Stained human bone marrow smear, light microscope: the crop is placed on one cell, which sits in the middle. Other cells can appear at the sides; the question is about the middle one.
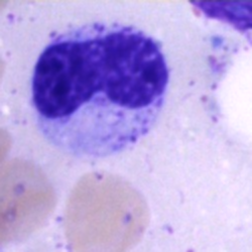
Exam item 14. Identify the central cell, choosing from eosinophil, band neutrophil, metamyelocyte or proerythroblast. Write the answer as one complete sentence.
The cell at the middle of the crop is recognized as a metamyelocyte.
